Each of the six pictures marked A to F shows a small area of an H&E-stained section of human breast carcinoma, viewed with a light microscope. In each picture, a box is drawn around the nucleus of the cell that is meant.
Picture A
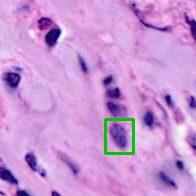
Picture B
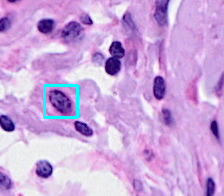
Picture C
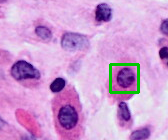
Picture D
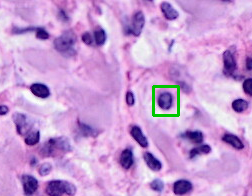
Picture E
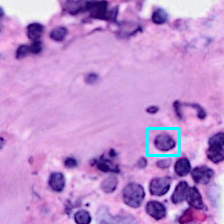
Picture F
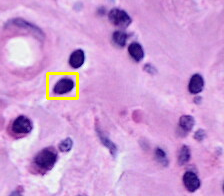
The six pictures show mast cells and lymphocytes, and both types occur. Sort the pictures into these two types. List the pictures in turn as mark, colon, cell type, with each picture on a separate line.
A: mast cell
B: mast cell
C: mast cell
D: mast cell
E: lymphocyte
F: lymphocyte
